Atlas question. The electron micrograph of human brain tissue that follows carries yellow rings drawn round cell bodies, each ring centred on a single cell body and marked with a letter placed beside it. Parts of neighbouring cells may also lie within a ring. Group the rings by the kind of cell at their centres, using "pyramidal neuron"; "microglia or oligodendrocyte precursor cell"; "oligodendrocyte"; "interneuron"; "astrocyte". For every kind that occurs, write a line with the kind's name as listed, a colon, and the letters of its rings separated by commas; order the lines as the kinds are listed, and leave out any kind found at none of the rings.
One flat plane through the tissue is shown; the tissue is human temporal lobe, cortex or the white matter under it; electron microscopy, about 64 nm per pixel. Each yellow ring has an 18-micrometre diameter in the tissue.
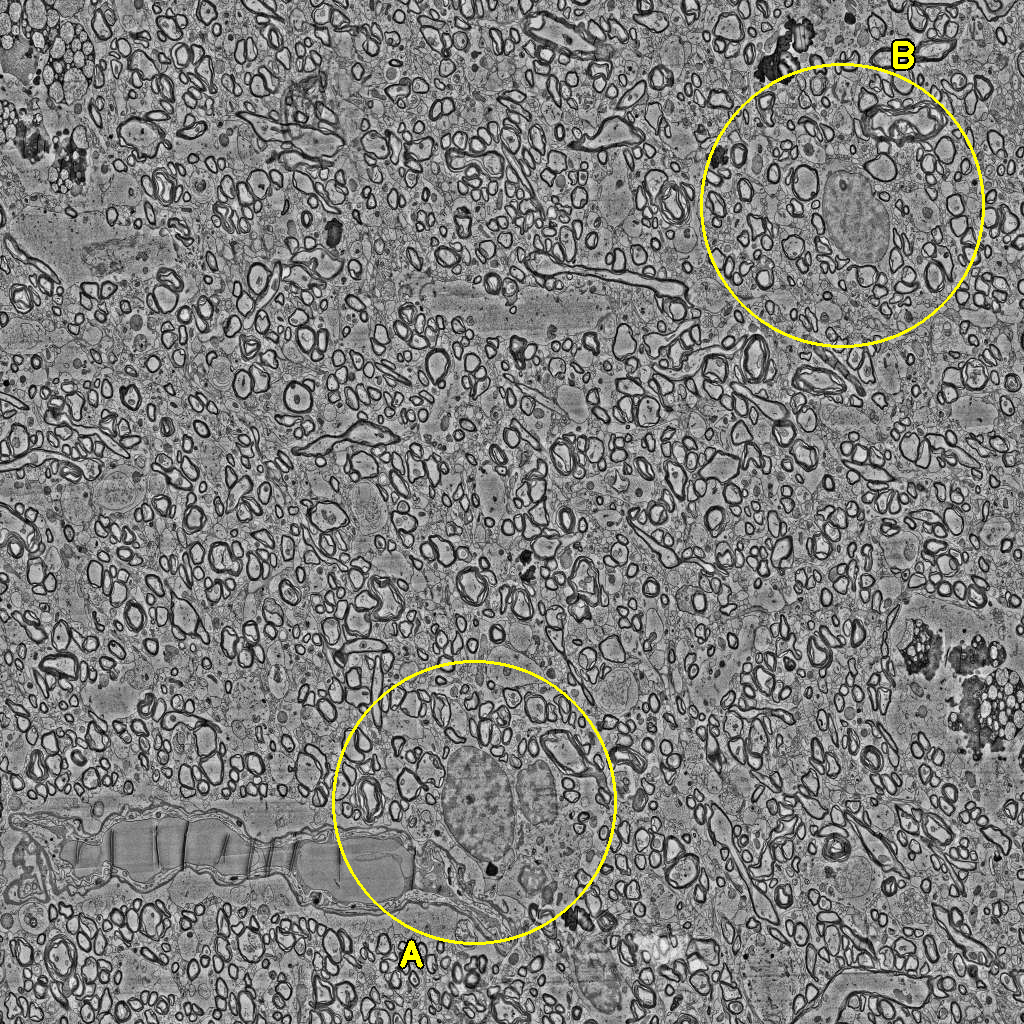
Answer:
oligodendrocyte: A, B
